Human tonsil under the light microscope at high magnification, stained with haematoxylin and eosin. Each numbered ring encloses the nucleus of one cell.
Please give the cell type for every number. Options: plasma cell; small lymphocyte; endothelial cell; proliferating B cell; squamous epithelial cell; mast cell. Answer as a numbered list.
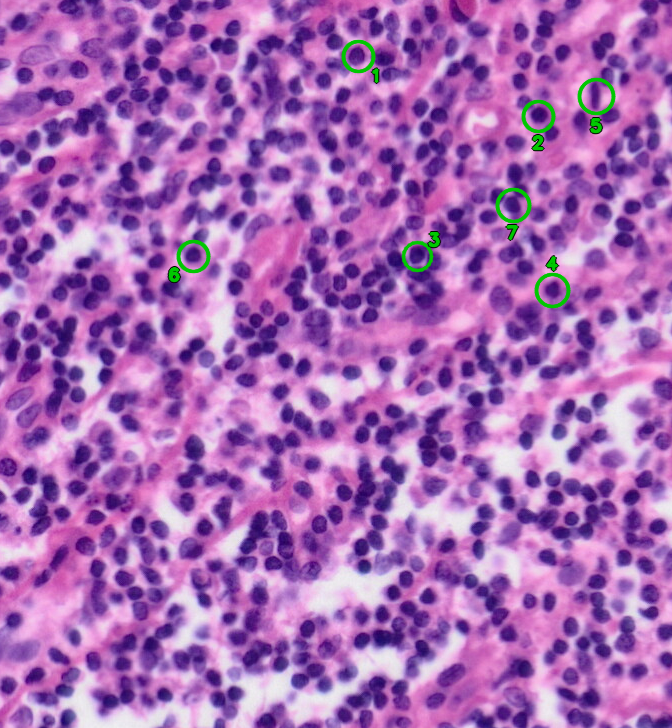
1. plasma cell
2. plasma cell
3. small lymphocyte
4. endothelial cell
5. endothelial cell
6. plasma cell
7. small lymphocyte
